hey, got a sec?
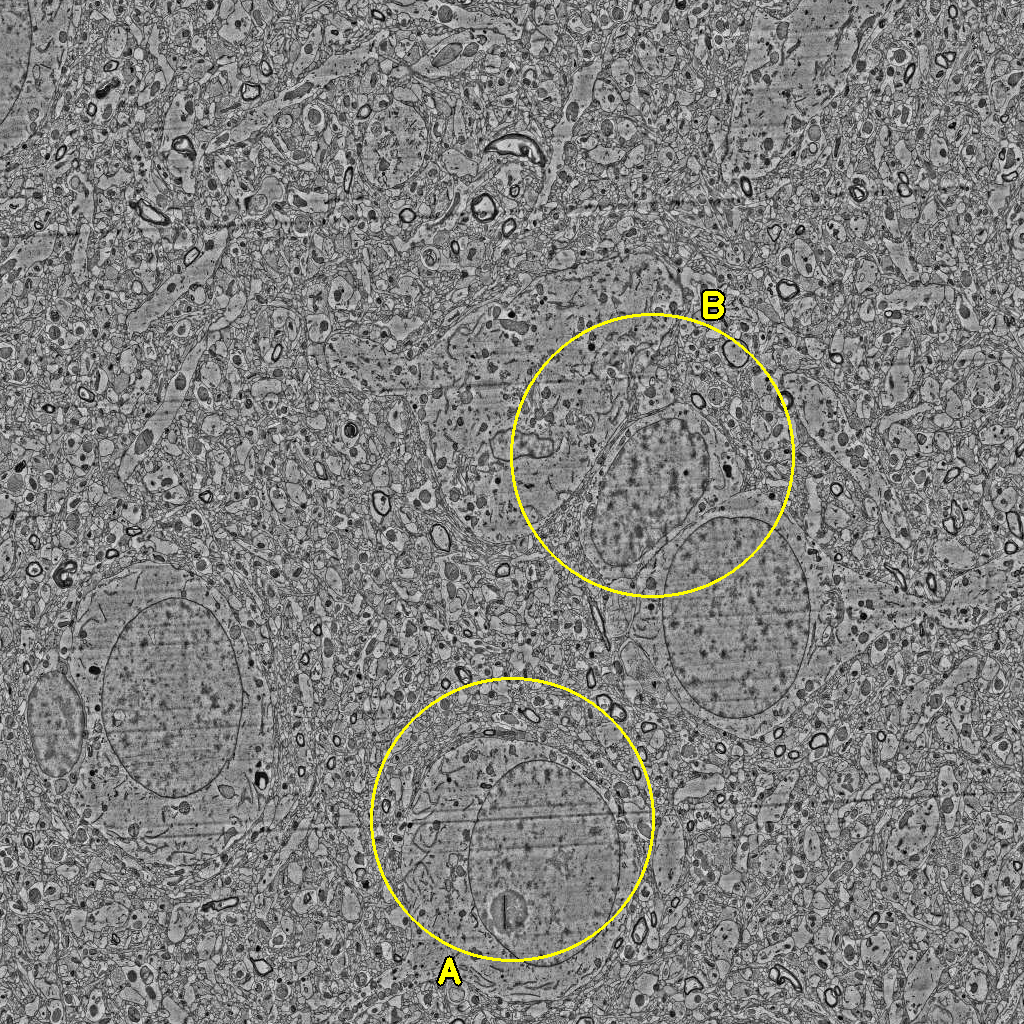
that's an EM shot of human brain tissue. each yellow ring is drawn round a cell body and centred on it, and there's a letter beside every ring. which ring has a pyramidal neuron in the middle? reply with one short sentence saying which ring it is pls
Ring A is the one centred on it.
